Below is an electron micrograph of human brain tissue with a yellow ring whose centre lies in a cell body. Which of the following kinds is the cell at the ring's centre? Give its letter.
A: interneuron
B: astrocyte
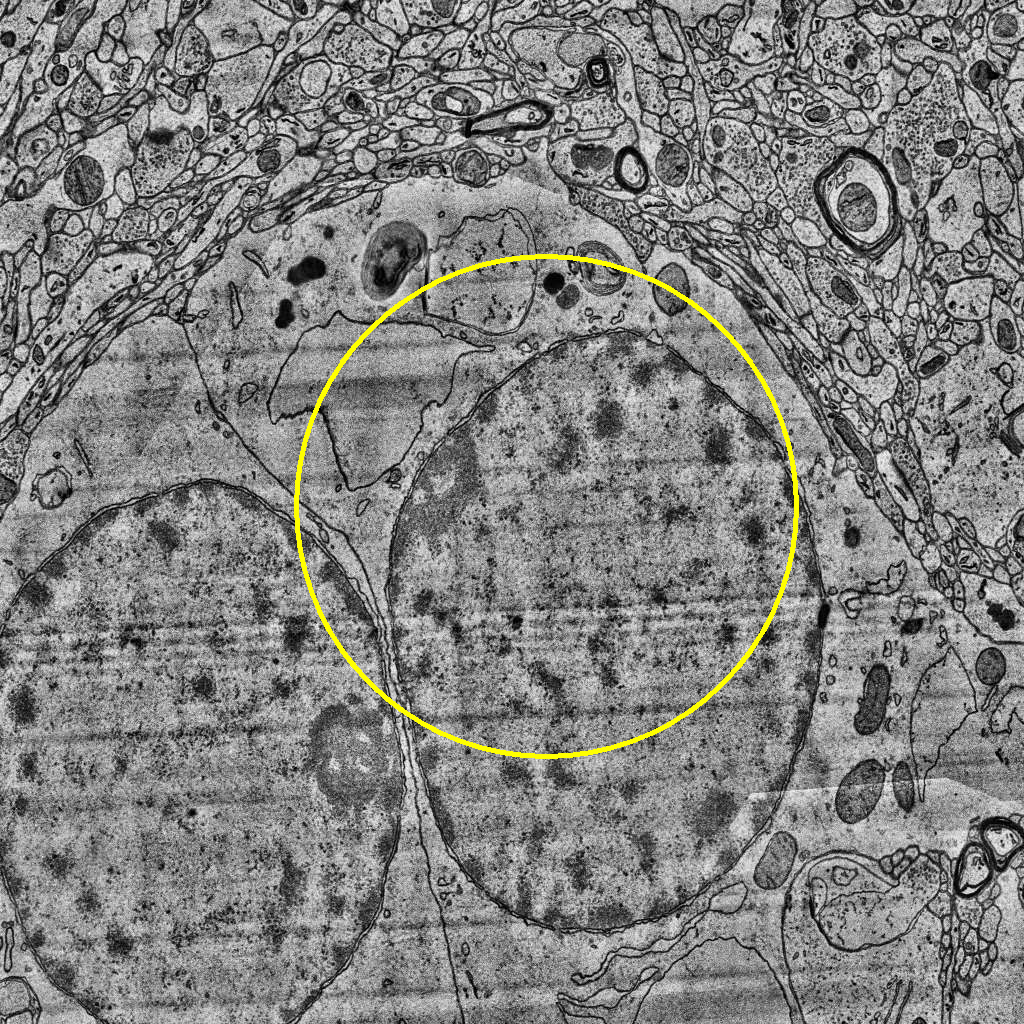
B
